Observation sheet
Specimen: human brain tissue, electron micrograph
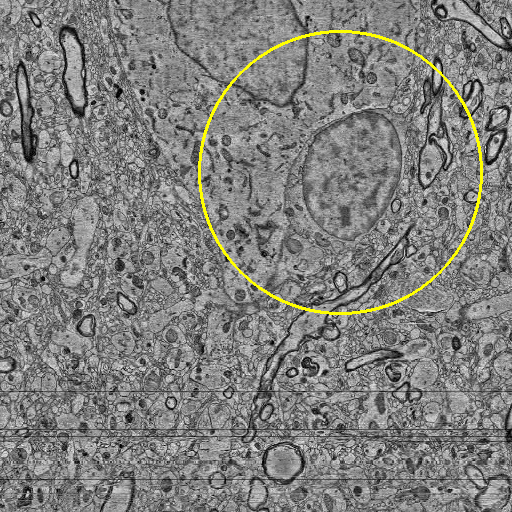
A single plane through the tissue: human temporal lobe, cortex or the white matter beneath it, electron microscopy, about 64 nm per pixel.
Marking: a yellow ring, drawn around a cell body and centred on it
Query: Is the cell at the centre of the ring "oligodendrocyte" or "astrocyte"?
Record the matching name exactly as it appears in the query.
oligodendrocyte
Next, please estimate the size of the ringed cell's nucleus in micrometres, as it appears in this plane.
About 9 by 6 micrometers, in this plane.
